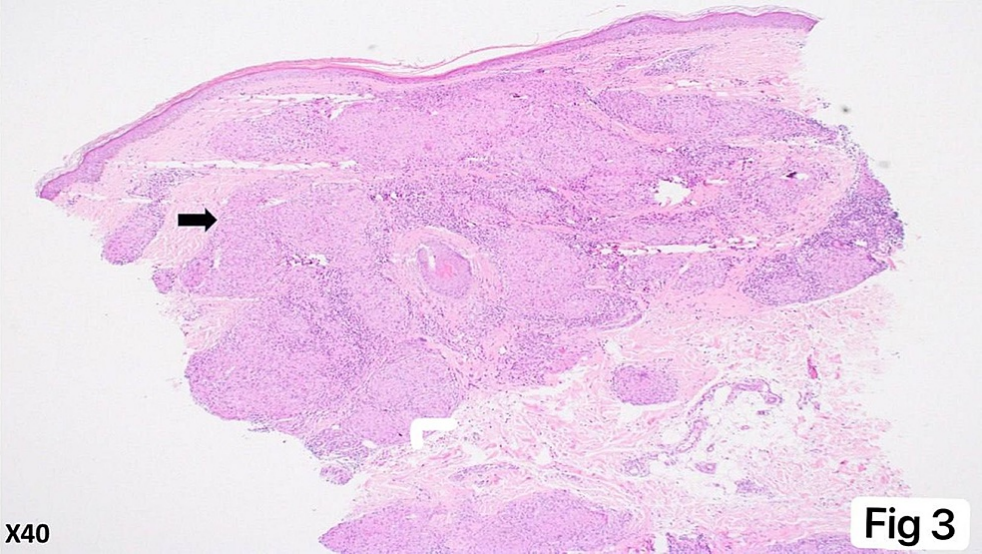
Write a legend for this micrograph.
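Low-power section of skin with a thin epidermis along the top and a dermis filled by multiple rounded, fairly circumscribed, densely cellular nodules. The nodules extend from just beneath the epidermis into the deeper dermis and are separated by paler pink collagen bands. A cross-section of a hair follicle with pink central keratin sits in the middle, encircled by the cellular infiltrate. The deeper dermis at the lower part of the section is looser and paler, with further nodules at the bottom edge.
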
